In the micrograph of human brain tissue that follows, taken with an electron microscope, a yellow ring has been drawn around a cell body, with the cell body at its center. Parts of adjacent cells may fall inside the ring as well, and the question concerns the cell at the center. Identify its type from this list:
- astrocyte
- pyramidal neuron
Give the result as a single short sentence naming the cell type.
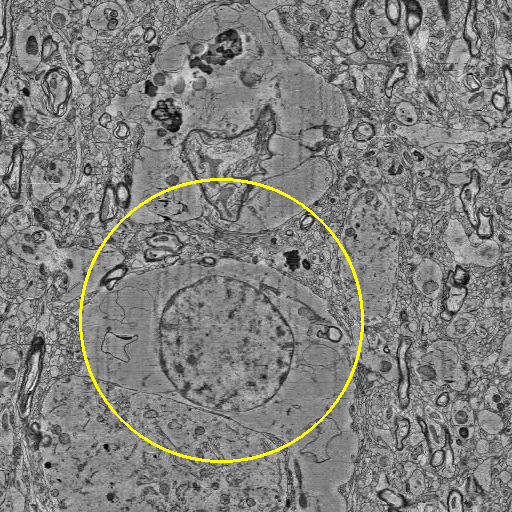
The ring is centered on an astrocyte.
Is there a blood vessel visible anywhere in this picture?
Yes, the image shows a blood vessel.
